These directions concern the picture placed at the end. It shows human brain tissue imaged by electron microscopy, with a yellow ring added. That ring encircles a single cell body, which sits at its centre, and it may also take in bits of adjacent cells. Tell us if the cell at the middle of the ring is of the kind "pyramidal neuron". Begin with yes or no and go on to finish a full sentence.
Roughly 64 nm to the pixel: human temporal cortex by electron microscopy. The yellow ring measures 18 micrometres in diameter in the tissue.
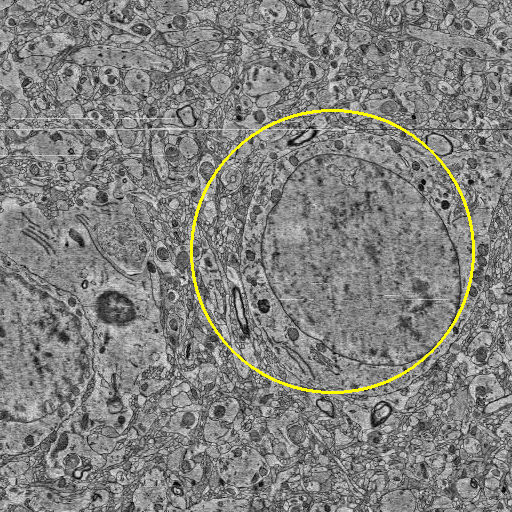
Yes, the cell sitting at the centre of the yellow ring in the picture is of that kind.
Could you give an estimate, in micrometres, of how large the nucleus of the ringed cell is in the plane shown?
In this plane the nucleus measures roughly 15 by 12 micrometres.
